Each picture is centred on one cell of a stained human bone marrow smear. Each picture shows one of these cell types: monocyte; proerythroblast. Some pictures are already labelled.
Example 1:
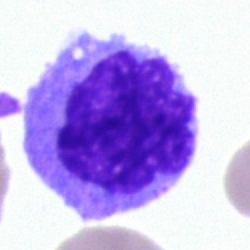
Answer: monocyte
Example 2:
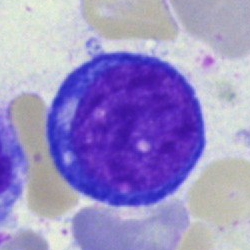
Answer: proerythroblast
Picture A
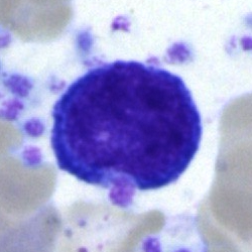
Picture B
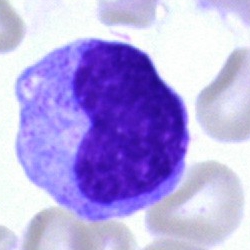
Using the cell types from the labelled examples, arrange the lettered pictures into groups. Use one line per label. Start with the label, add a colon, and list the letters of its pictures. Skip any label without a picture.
monocyte: B
proerythroblast: A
